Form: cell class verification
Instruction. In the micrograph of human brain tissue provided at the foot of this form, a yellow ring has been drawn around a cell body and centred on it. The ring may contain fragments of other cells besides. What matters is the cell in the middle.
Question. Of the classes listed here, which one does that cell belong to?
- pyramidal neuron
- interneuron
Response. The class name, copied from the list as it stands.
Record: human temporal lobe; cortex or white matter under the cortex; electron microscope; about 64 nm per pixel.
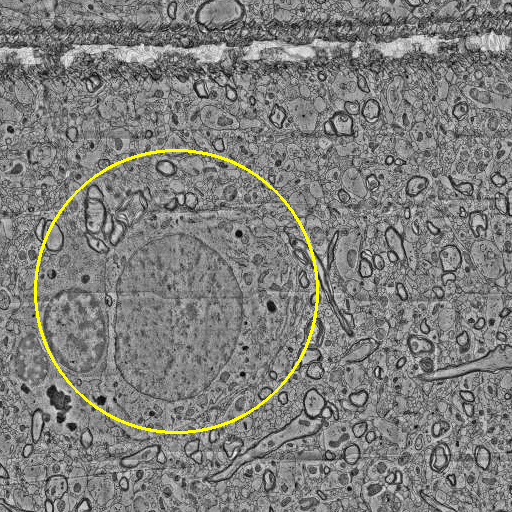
interneuron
